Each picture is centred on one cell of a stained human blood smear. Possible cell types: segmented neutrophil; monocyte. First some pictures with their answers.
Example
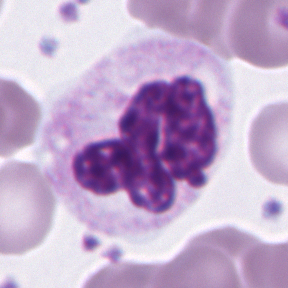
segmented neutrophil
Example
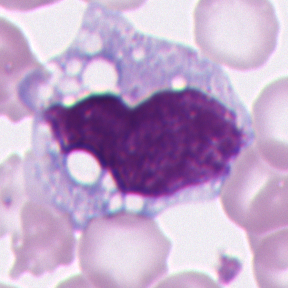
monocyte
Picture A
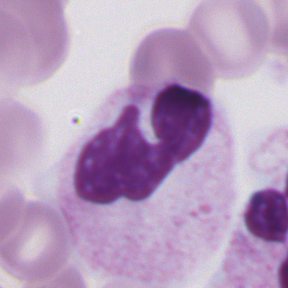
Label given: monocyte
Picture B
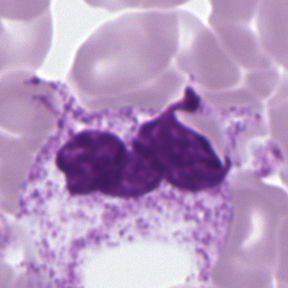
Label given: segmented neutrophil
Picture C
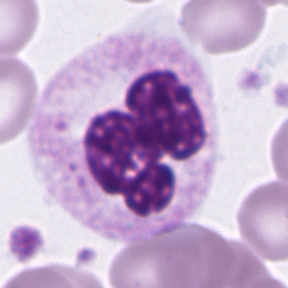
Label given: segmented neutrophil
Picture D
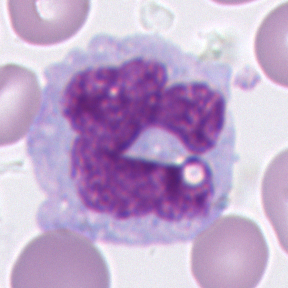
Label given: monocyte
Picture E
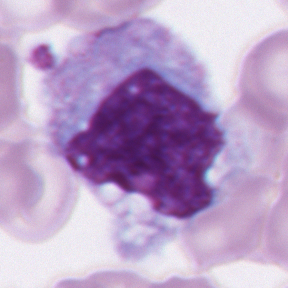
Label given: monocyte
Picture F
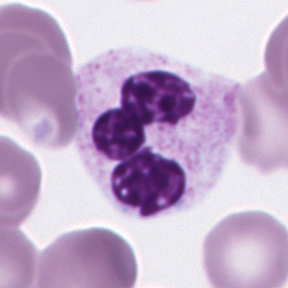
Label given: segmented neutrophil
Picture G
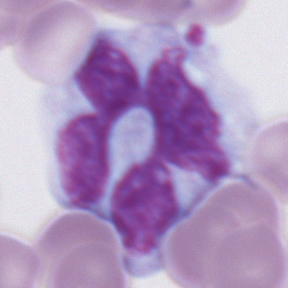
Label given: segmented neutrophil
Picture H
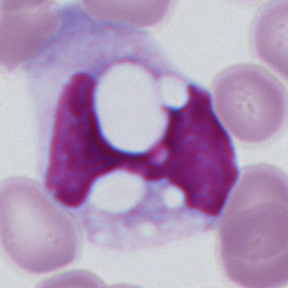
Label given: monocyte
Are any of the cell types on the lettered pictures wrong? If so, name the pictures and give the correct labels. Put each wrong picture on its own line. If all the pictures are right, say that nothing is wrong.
A is labelled monocyte; correct label: segmented neutrophil
G is labelled segmented neutrophil; correct label: monocyte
